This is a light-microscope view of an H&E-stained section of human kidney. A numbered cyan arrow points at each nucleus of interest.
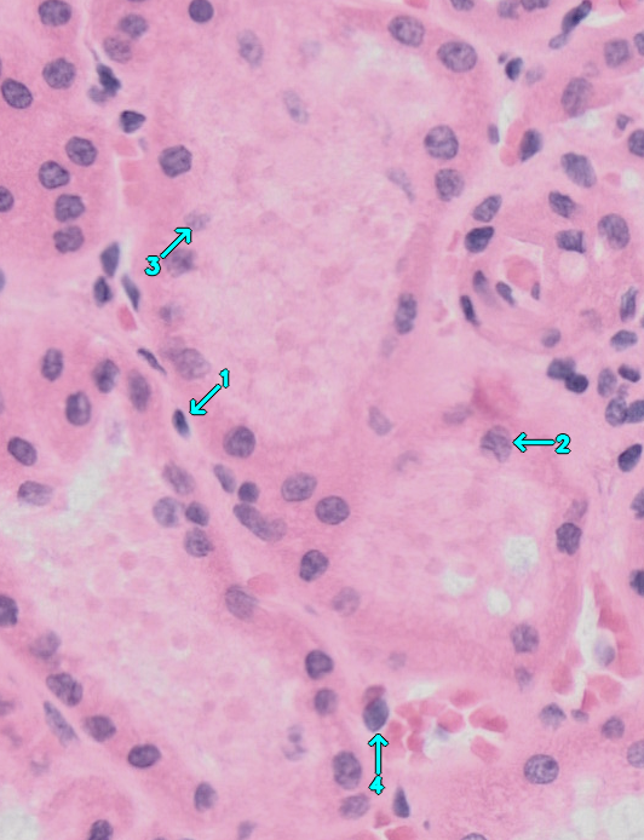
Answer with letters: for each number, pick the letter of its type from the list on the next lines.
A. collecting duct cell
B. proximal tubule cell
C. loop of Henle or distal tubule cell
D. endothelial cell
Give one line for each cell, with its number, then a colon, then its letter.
1: D
2: B
3: B
4: D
